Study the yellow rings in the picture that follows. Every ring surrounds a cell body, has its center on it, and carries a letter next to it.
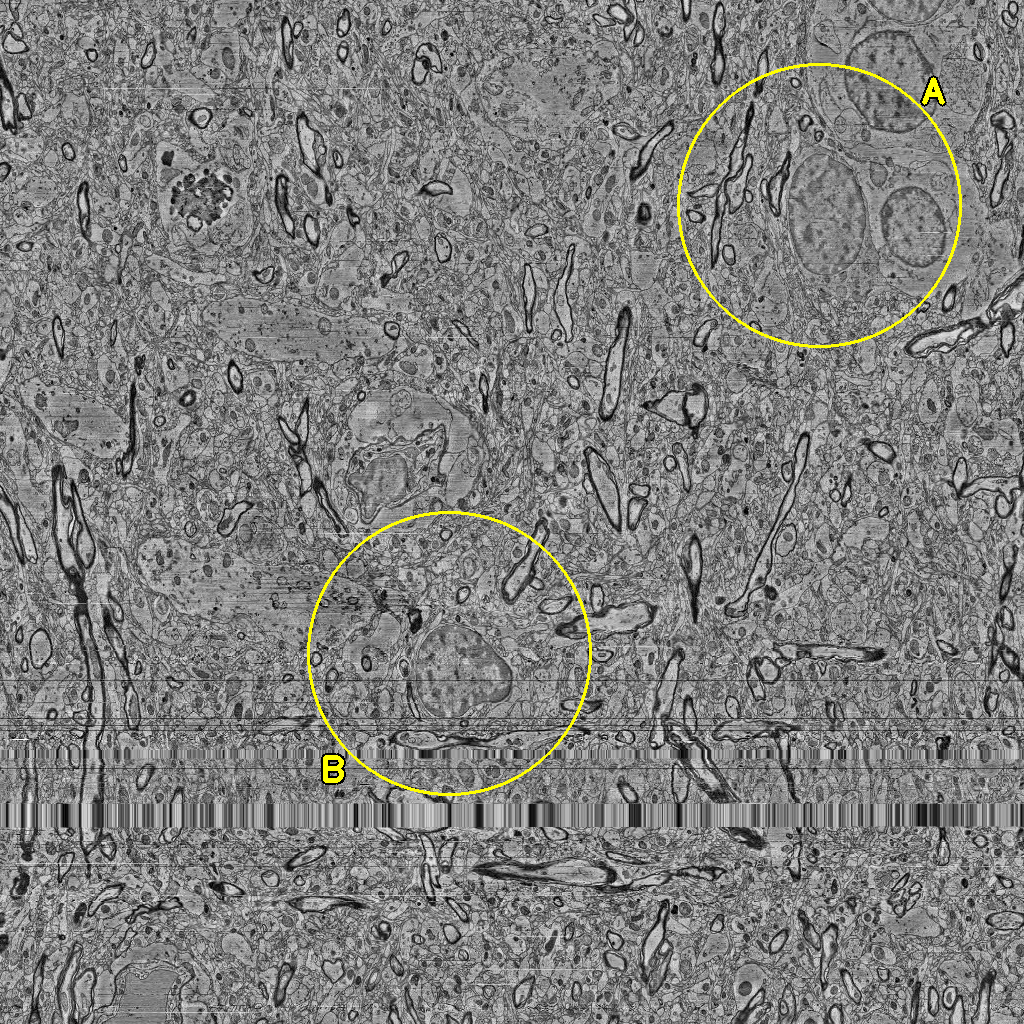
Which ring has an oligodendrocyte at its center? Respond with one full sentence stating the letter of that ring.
The ring centered on the cell asked for carries the letter A.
